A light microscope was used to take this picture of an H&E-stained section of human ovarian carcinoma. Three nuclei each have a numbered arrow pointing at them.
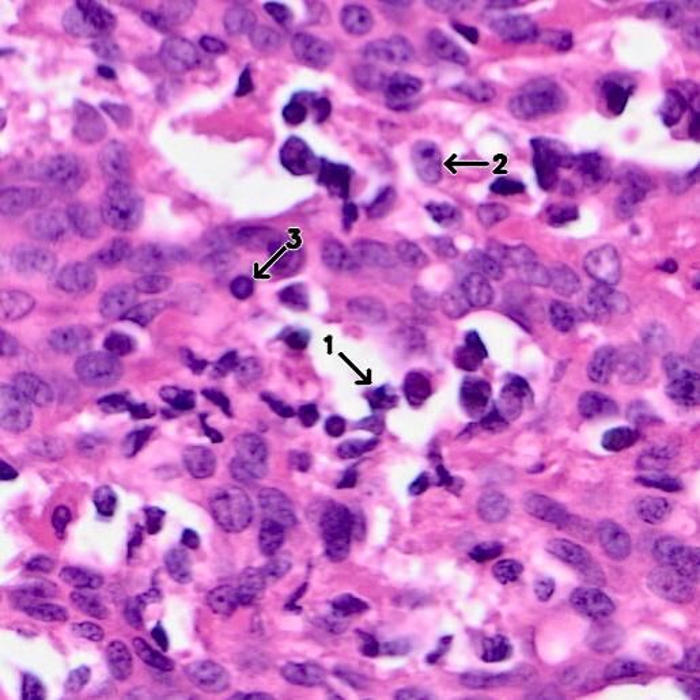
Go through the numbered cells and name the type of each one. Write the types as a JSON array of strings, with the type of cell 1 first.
["carcinoma cell", "macrophage or monocyte", "macrophage or monocyte"]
